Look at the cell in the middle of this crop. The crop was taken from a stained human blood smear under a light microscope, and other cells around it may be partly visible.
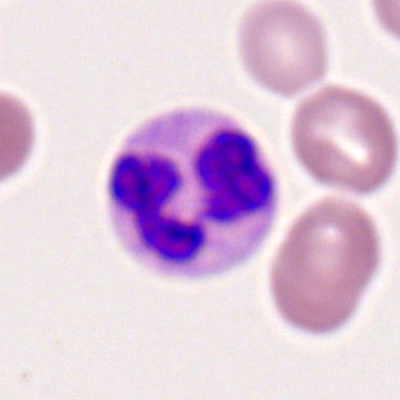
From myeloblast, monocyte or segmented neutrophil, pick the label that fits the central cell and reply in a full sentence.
What sits at the centre of this crop is a segmented neutrophil.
